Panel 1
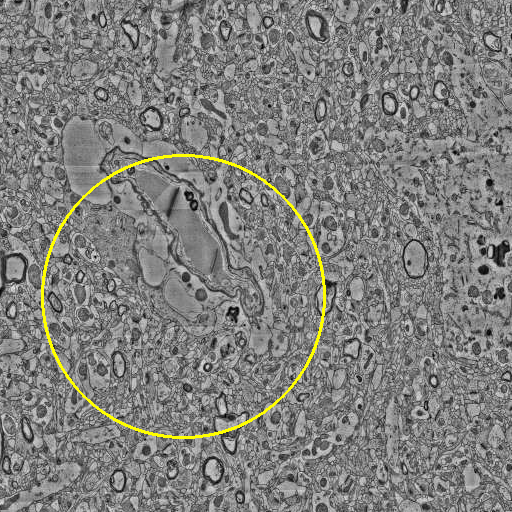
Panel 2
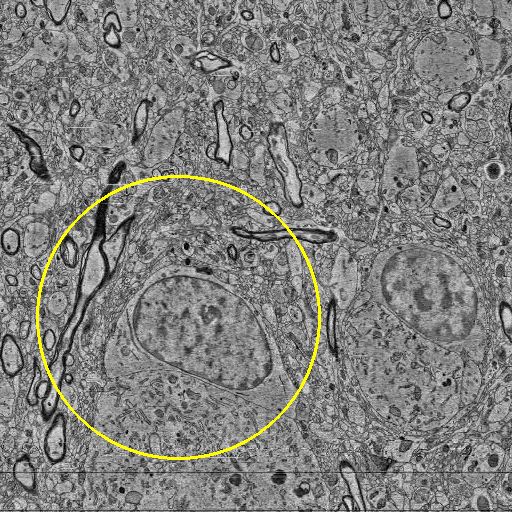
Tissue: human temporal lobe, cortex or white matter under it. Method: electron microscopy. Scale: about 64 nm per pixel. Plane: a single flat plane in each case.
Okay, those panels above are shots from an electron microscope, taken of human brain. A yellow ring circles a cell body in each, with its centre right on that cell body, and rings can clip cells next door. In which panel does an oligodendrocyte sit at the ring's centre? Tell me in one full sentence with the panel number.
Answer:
The cell you asked for sits at the ring's centre in panel 1.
